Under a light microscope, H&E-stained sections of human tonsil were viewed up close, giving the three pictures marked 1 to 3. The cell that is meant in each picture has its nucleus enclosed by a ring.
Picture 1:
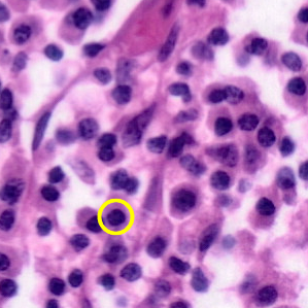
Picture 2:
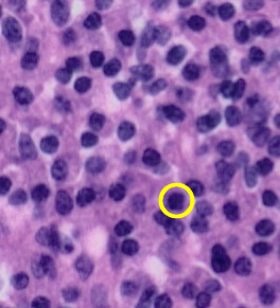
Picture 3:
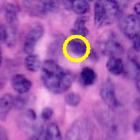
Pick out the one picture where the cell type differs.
3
